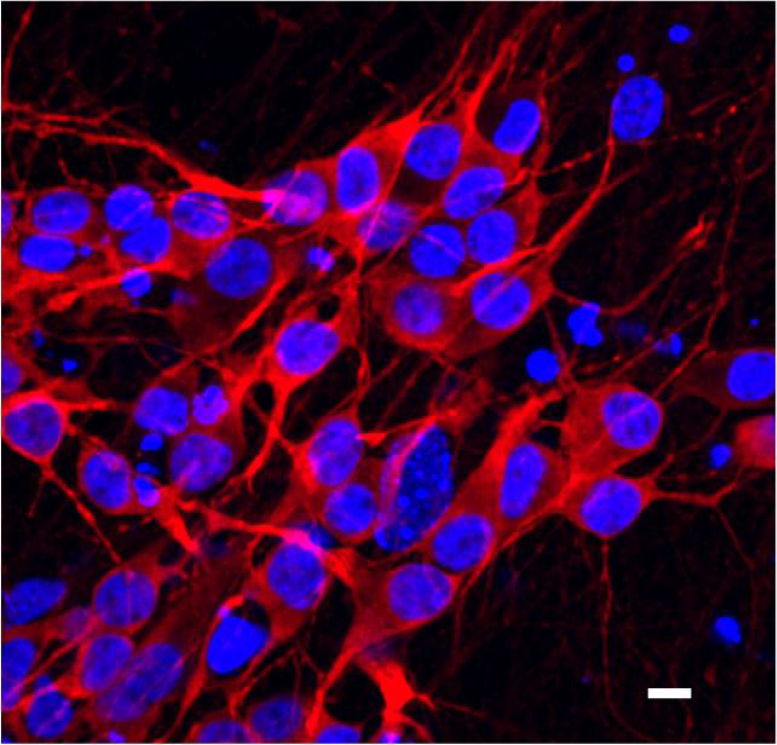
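Oval to round blue nuclei, fairly uniform in size, sit in clusters, each surrounded by a thin rim of red cytoplasm. From the cell bodies, many long thin red processes extend and branch, crossing one another to form a meshwork across the field, with some thicker bundles running between groups of cells. A few small bright blue fragments lie among the cells without red around them. The space between clusters is dark, crossed only by fine processes.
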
